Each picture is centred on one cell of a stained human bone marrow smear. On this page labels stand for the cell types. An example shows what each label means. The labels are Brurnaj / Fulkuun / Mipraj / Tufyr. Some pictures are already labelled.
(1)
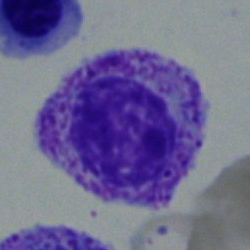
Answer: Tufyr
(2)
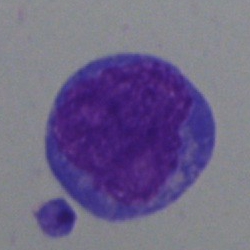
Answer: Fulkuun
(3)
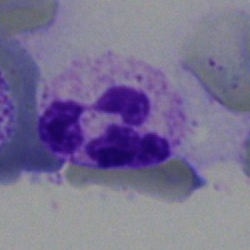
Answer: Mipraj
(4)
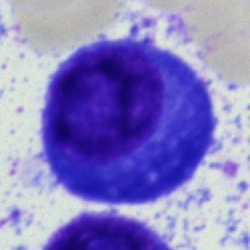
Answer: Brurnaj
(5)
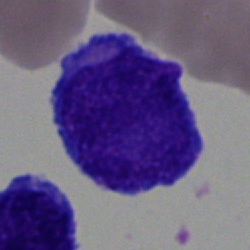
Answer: Fulkuun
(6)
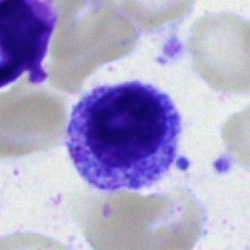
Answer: Tufyr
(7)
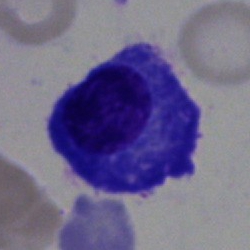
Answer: Brurnaj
